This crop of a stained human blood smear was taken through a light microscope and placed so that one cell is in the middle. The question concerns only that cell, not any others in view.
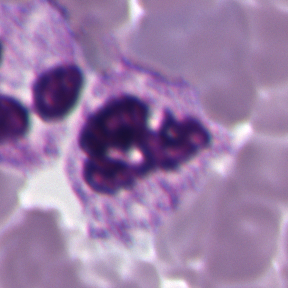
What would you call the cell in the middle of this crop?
neutrophil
